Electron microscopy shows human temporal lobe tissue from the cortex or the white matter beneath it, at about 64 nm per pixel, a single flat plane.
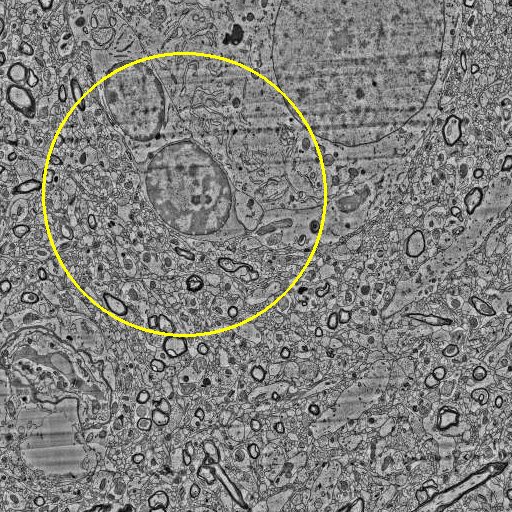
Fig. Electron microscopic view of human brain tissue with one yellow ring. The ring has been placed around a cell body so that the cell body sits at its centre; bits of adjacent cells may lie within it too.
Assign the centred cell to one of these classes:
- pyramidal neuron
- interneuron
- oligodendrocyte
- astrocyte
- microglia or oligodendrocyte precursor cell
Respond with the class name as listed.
oligodendrocyte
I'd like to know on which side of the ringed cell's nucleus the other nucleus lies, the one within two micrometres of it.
The second nucleus lies to the upper left of it.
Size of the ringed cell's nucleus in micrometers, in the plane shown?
The ringed cell's nucleus is about 6 micrometres long and 5 micrometres wide in this plane.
